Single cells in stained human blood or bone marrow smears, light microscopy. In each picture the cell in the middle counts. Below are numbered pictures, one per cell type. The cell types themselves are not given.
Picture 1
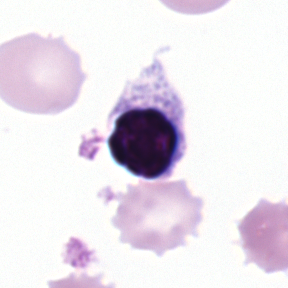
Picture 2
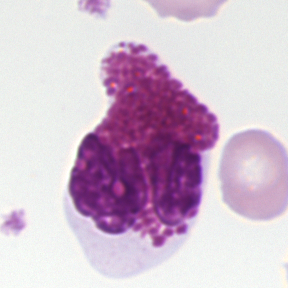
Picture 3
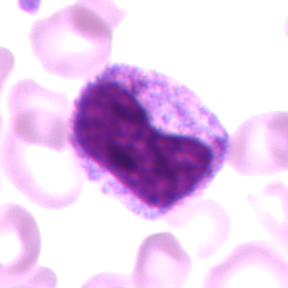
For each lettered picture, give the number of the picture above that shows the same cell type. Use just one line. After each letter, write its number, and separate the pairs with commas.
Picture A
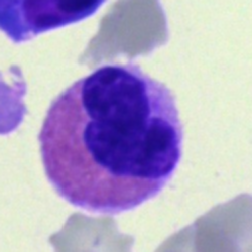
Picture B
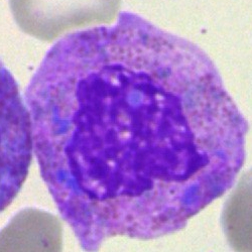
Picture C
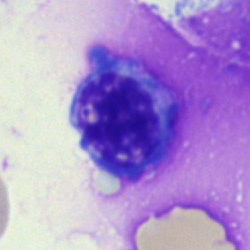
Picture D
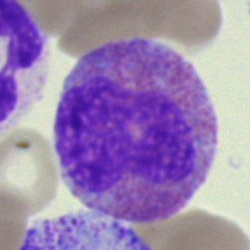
A 2, B 2, C 1, D 2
